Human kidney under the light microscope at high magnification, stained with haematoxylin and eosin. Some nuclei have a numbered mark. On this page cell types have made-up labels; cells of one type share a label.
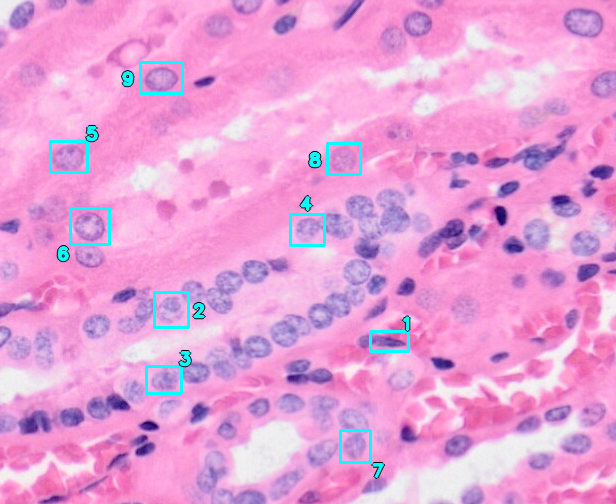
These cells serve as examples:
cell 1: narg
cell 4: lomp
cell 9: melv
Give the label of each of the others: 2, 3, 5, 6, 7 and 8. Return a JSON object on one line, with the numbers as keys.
{"2": "lomp", "3": "lomp", "5": "melv", "6": "melv", "7": "lomp", "8": "melv"}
